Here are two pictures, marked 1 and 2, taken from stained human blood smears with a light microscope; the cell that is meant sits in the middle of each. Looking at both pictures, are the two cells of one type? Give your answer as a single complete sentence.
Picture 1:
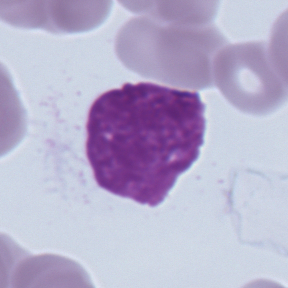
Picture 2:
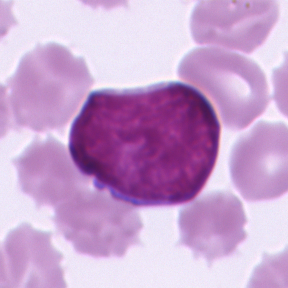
No, they differ: the cell is a smudge cell in picture 1 and a myeloblast in picture 2.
